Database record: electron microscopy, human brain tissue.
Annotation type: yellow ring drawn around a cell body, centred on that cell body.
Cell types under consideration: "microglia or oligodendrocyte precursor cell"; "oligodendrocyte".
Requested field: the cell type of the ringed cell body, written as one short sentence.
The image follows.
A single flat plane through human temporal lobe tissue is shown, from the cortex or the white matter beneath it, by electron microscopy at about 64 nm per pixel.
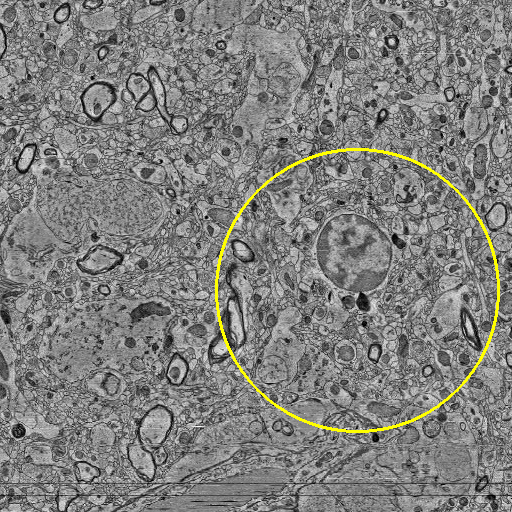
The ringed cell body represents a microglial cell or oligodendrocyte precursor cell.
